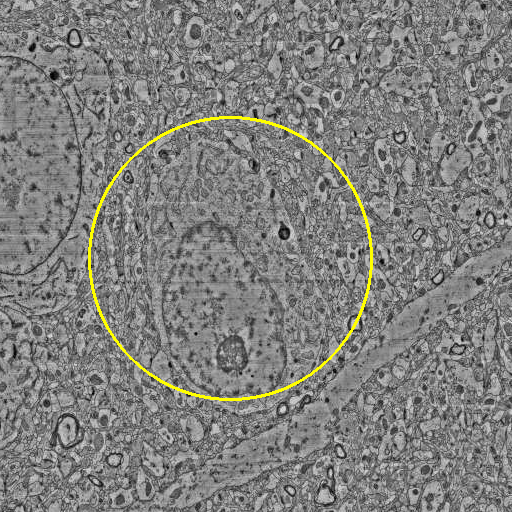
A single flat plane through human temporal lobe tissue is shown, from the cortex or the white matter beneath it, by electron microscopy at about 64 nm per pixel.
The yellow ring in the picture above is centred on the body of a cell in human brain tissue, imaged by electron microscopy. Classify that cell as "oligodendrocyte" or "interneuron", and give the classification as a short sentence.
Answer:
The cell in the middle of the ring is an interneuron.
